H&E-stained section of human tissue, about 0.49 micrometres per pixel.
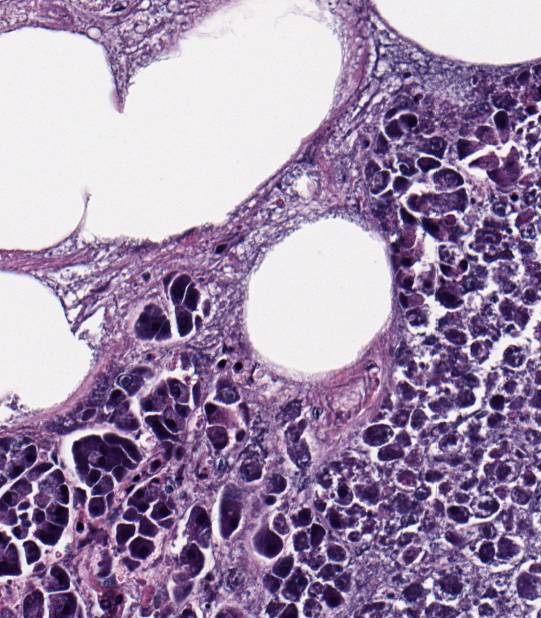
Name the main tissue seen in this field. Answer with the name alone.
exocrine pancreas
